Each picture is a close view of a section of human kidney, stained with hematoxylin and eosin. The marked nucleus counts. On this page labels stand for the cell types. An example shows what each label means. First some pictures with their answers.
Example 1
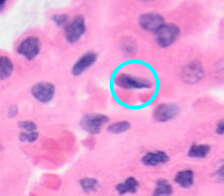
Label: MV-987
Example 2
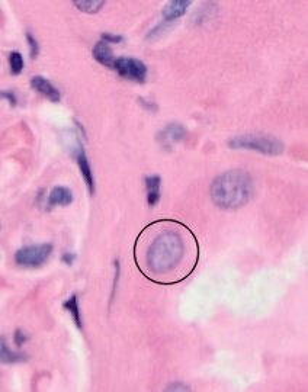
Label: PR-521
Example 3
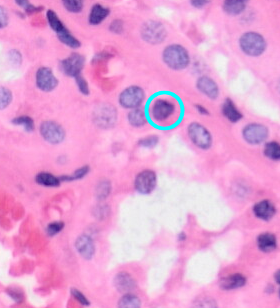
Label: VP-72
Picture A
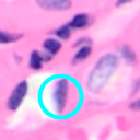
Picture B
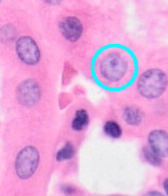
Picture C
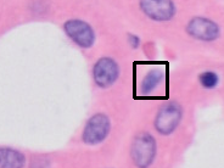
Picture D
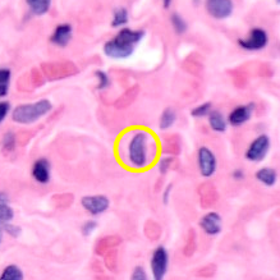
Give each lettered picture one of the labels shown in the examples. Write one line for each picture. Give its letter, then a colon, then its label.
A: MV-987
B: PR-521
C: MV-987
D: MV-987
